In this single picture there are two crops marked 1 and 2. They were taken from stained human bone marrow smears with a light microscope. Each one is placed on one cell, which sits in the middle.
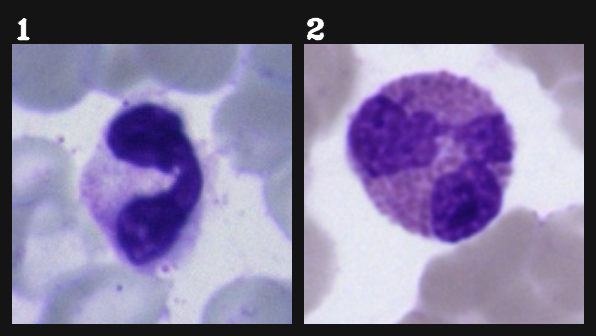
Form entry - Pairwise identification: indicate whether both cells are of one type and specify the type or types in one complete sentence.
No, crop 1 and crop 2 contain, respectively, a segmented neutrophil and an eosinophil.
